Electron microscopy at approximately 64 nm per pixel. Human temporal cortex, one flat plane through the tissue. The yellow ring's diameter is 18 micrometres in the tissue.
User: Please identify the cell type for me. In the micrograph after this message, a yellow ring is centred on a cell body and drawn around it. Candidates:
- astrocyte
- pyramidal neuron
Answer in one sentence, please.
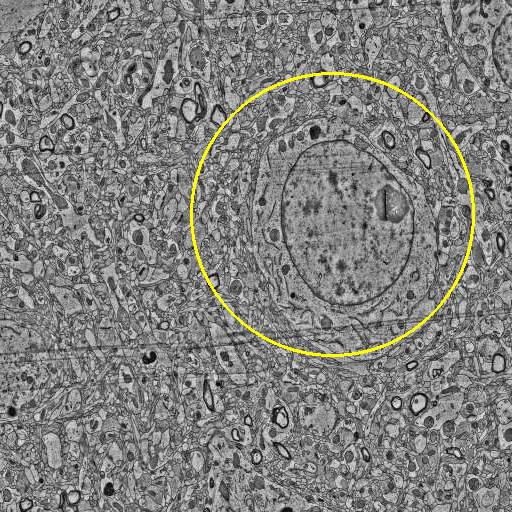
The ring is drawn around the cell body of a pyramidal neuron.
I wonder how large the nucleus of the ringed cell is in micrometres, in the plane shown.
The nucleus measures about 12 by 8 micrometres in this plane.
